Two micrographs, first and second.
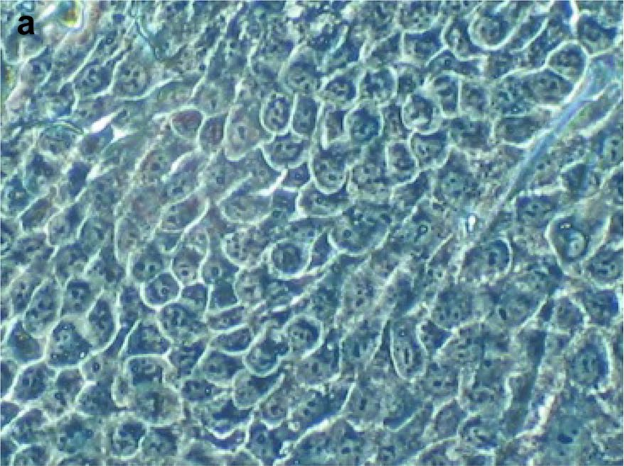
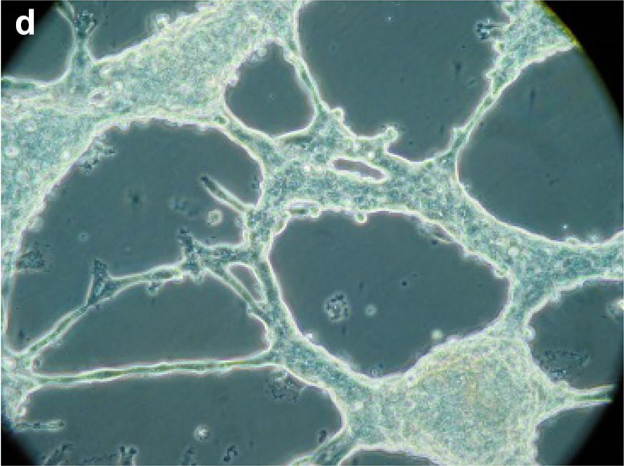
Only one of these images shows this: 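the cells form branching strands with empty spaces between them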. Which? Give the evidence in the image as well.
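Second image: cell bands branch around large dark cell-free areas. First image: cells cover the whole field as one continuous sheet without gaps. So: the second image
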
